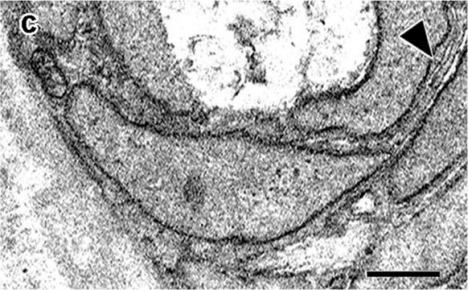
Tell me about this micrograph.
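The cell is long and flattened, curving along the border of a much paler neighbouring region above it, so it looks crescent-like in section. Its interior is finely granular and moderately grey, bounded by a thin dark plasma membrane. Toward its upper right end, several thin membranes run close and parallel to one another, the profiles of rough endoplasmic reticulum. A small rounded organelle sits near the upper left. Around the cell are other thin, membrane-bounded layers of neighbouring cells pressed tightly against it.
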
